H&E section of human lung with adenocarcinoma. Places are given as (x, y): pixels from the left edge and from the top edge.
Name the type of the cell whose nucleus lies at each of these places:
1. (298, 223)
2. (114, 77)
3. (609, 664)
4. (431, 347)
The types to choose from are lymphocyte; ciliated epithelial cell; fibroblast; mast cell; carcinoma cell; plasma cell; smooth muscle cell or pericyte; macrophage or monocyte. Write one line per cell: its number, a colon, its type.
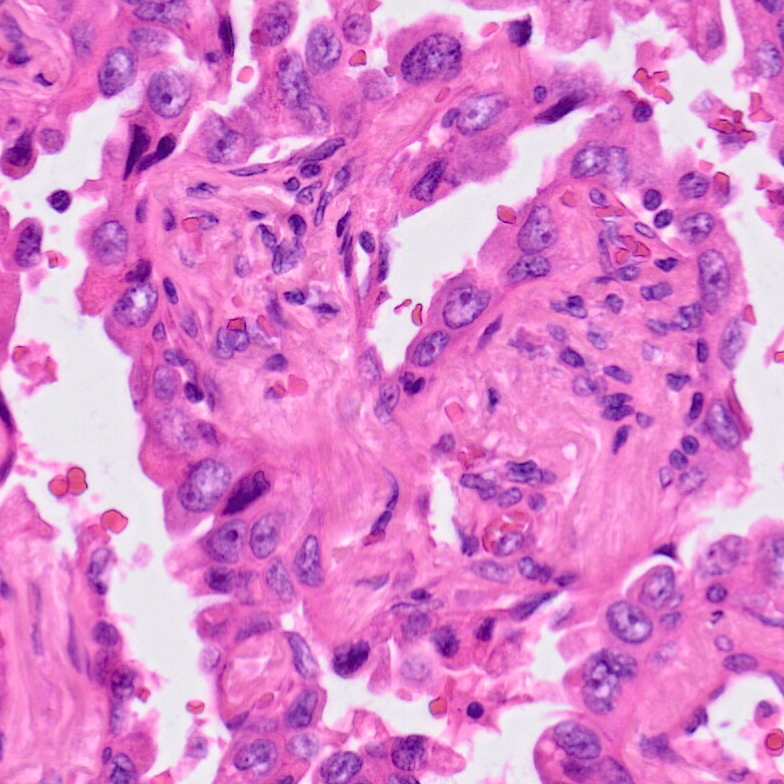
1: plasma cell
2: carcinoma cell
3: carcinoma cell
4: carcinoma cell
